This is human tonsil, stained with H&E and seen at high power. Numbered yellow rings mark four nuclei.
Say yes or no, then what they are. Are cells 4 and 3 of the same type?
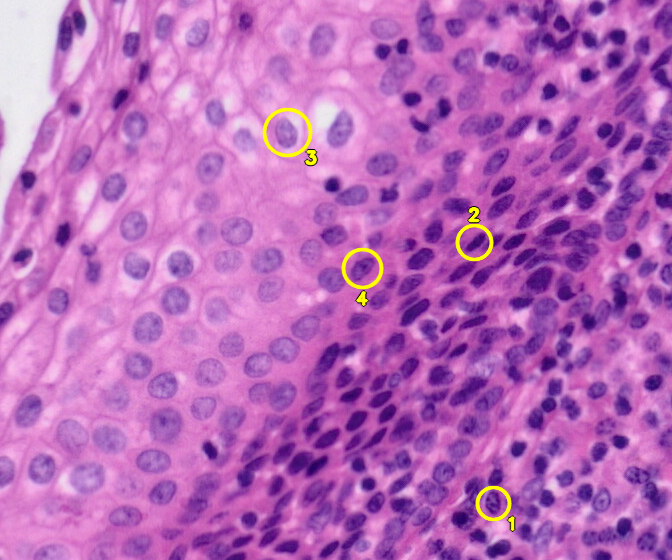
Yes, cells 4 and 3 have the same identity; both are squamous epithelial cells.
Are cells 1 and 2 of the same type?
No, the cell bearing number 1 is a plasma cell, while the one bearing number 2 is a squamous epithelial cell.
